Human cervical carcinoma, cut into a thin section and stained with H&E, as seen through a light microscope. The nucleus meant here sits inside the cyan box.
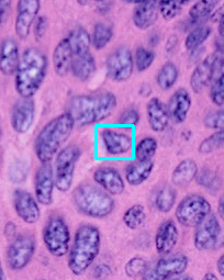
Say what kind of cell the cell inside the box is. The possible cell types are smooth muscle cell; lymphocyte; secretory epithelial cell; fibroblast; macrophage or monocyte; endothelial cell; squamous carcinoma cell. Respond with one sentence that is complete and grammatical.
In cell-type terms, the cell inside the box is a squamous carcinoma cell.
